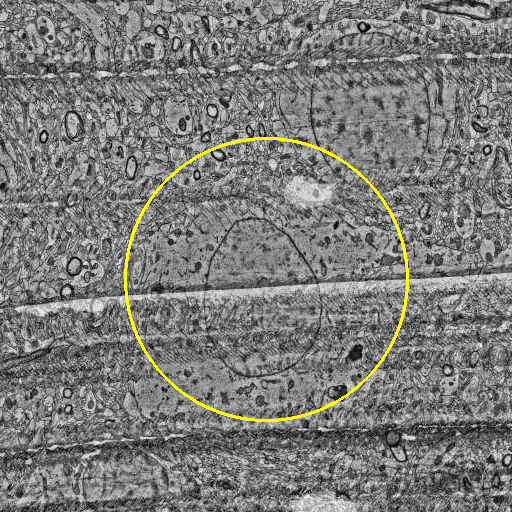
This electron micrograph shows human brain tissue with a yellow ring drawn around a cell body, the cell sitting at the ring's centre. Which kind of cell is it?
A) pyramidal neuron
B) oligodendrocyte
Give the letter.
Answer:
A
